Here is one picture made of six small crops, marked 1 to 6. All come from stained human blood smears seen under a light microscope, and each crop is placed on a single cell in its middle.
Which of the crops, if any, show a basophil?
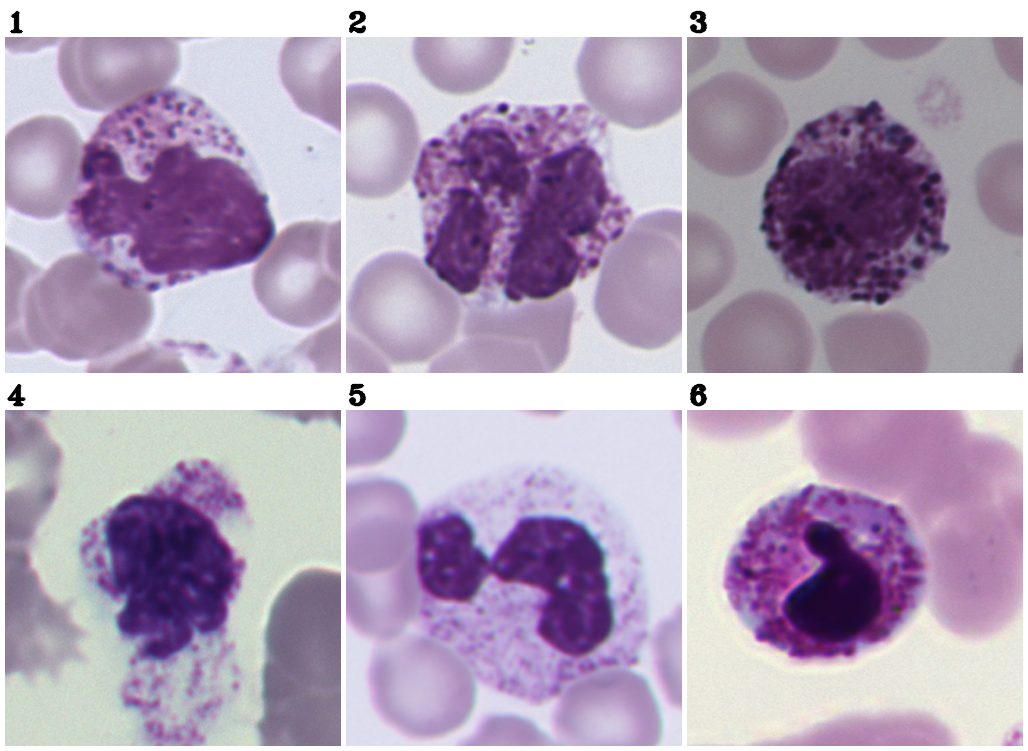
1, 2, 3, 4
